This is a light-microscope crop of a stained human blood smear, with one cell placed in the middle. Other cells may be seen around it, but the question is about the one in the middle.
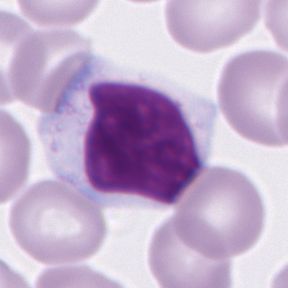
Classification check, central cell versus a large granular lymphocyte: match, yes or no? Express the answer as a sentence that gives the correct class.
Yes, this central cell is a large granular lymphocyte.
